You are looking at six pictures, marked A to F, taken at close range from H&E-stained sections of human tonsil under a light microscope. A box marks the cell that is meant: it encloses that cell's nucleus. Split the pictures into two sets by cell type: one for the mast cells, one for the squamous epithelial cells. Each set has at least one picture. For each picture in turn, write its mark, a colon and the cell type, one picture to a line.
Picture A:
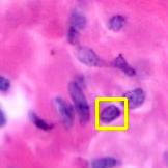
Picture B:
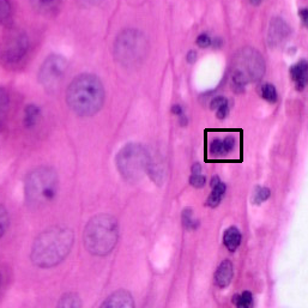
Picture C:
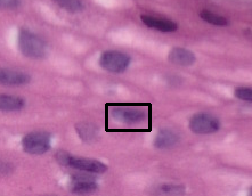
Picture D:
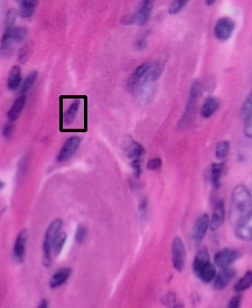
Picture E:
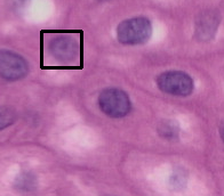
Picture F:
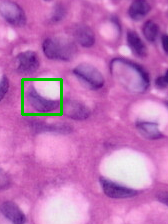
A: mast cell
B: squamous epithelial cell
C: squamous epithelial cell
D: mast cell
E: squamous epithelial cell
F: squamous epithelial cell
